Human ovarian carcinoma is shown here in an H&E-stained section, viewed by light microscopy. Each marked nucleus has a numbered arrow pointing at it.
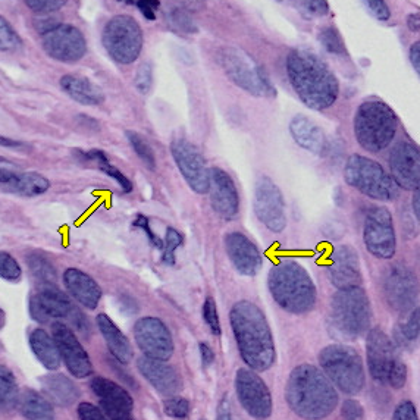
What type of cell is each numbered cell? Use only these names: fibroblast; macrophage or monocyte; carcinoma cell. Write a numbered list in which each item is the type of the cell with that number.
1. fibroblast
2. carcinoma cell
